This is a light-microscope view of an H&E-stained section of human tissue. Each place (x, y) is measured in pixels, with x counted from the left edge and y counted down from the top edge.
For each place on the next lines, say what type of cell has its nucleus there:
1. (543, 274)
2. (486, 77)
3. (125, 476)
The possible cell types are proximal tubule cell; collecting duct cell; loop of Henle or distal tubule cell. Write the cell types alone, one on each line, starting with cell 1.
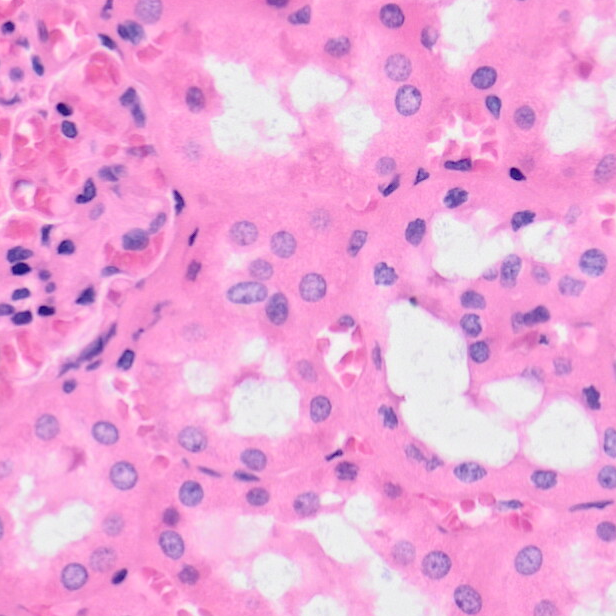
loop of Henle or distal tubule cell
proximal tubule cell
proximal tubule cell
